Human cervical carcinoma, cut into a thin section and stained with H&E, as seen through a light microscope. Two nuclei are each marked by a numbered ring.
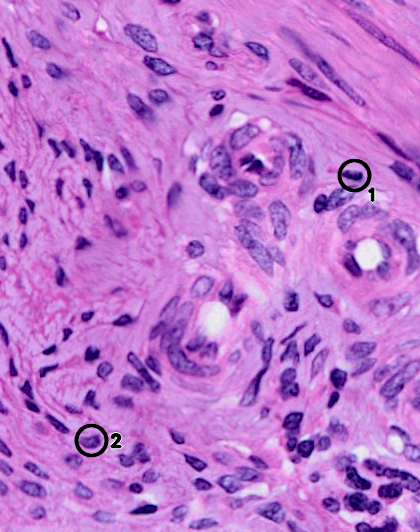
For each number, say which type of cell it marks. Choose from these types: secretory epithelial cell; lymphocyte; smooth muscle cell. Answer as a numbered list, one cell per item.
1. lymphocyte
2. smooth muscle cell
